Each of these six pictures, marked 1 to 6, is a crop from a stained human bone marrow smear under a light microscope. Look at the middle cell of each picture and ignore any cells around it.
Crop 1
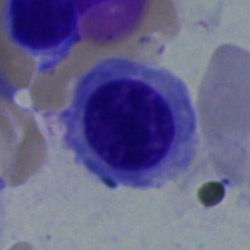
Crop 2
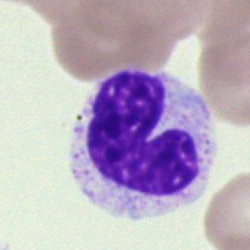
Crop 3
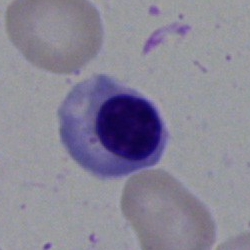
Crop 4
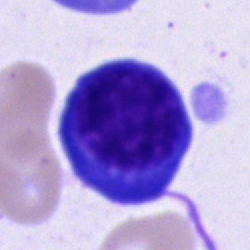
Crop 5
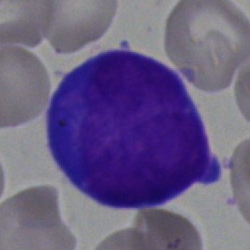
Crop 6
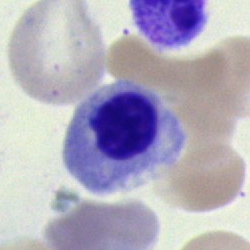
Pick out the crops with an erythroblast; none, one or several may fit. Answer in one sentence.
The cells at the centre of the crops labelled 1, 3 and 6 are erythroblasts.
